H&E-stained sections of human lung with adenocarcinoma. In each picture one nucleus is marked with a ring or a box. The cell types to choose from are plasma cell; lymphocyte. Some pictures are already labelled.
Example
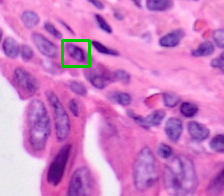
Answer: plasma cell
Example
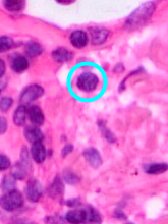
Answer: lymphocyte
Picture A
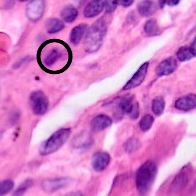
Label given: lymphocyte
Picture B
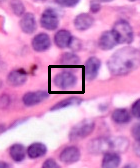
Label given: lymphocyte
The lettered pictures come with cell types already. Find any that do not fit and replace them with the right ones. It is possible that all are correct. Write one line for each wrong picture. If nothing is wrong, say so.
Wrong: A (lymphocyte); correct: plasma cell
